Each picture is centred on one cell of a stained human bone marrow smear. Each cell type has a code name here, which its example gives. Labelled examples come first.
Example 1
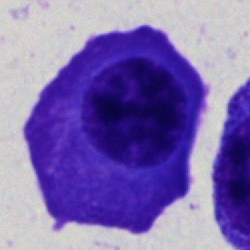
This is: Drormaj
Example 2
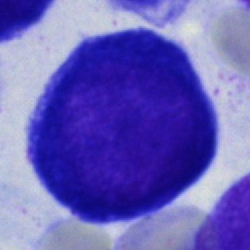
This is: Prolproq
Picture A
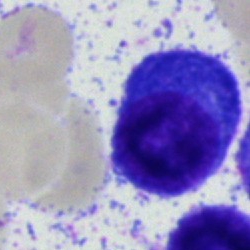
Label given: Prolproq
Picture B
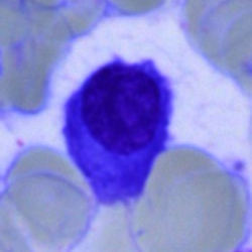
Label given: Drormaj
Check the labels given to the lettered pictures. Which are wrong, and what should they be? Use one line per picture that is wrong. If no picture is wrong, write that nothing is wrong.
A is labelled Prolproq; correct label: Drormaj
